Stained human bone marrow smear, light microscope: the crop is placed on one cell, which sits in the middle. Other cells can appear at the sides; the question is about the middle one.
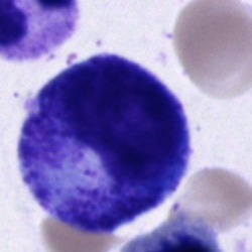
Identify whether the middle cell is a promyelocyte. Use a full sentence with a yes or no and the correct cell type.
Yes, the cell in the central position is a promyelocyte.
